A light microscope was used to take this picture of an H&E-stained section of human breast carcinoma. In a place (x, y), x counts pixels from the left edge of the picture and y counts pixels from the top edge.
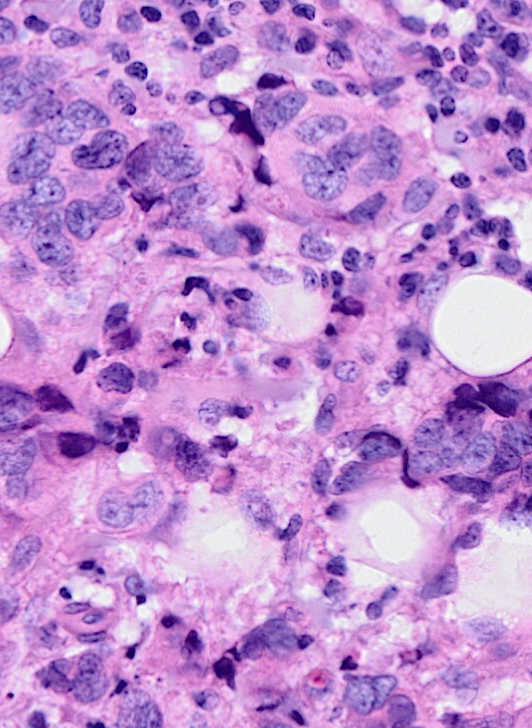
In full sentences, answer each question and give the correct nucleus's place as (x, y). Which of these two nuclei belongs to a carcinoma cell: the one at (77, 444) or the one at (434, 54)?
Of the two nuclei, it is the one at (77, 444) that lies within a carcinoma cell.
